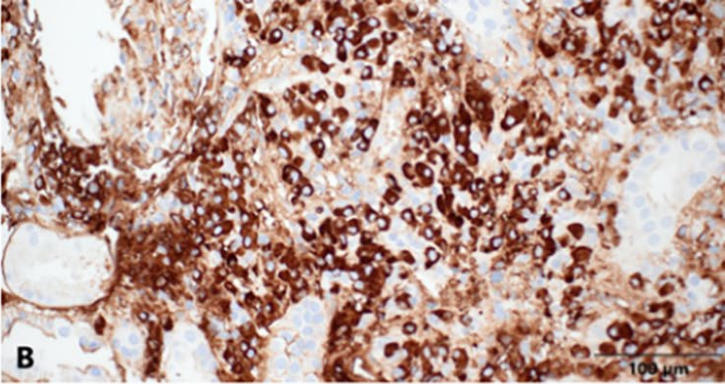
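Numerous plasma cells in the kidney interstitium show dense brown cytoplasmic staining around round, eccentric, pale blue nuclei. They crowd between residual tubules, whose epithelial cells remain unstained with pale blue nuclei.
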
